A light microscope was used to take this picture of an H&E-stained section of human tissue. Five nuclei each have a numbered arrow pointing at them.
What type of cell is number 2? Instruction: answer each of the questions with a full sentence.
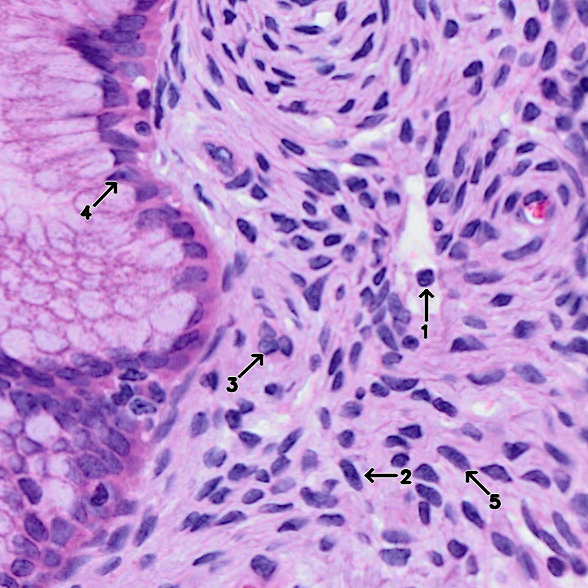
The cell bearing label 2 corresponds to a fibroblast.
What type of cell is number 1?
Of the numbered cells, the one labelled 1 is a lymphocyte.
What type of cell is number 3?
In this section, the cell tagged 3 is an endothelial cell.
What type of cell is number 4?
Cell 4 in the field of view is a secretory epithelial cell.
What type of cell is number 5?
Recognised here as a fibroblast is the cell numbered 5.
